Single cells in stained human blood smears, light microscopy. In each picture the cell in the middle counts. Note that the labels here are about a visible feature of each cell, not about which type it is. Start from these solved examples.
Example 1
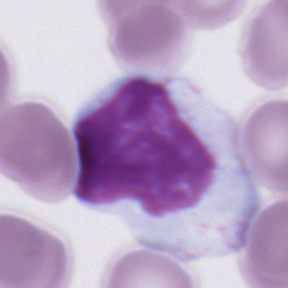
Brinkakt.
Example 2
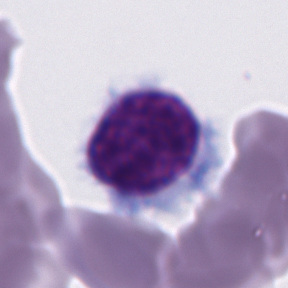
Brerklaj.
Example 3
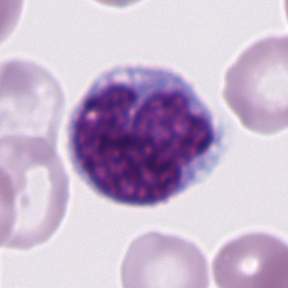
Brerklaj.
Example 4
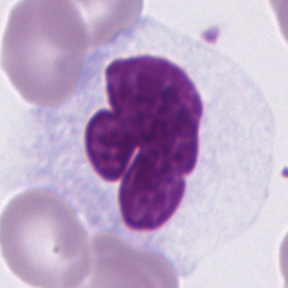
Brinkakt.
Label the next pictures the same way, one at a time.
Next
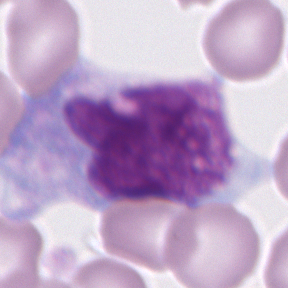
Brinkakt.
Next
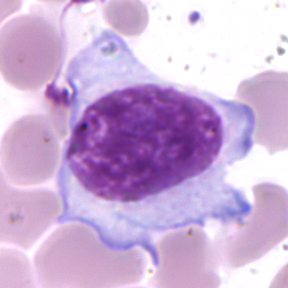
Brinkakt.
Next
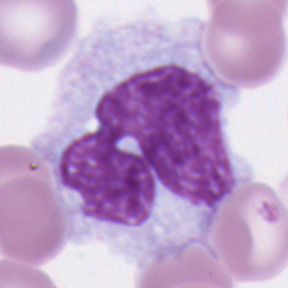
Brinkakt.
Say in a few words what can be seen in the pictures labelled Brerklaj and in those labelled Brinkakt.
Brerklaj, scant cytoplasm; Brinkakt, abundant cytoplasm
